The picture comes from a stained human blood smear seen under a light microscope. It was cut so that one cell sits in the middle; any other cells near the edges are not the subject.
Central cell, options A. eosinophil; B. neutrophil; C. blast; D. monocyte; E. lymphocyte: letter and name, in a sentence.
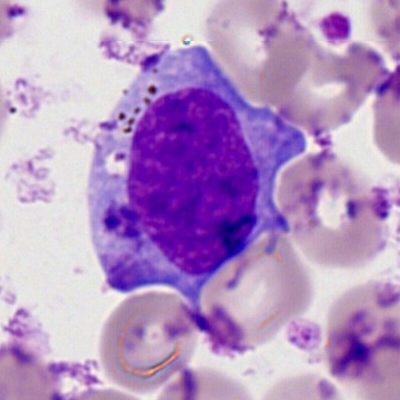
The correct response is option C, naming the cell in the middle as a blast.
